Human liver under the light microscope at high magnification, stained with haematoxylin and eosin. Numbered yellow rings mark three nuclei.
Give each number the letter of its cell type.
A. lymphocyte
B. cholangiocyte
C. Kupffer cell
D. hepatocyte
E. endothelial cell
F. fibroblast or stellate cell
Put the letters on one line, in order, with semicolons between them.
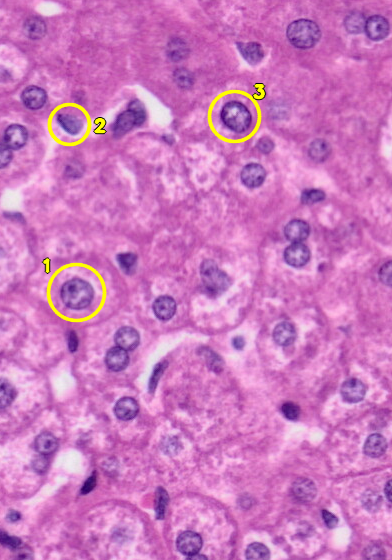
D; E; D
